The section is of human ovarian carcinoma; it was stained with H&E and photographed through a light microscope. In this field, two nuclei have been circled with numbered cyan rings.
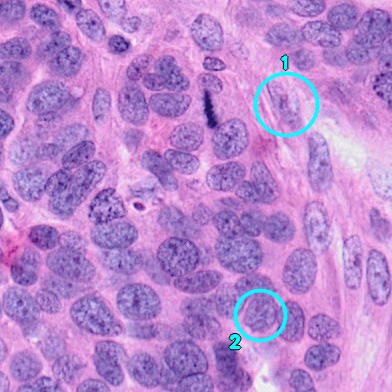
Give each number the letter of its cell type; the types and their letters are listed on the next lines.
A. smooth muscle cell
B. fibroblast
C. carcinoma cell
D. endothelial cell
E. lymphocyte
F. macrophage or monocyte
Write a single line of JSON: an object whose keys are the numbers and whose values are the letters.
{"1": "B", "2": "C"}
